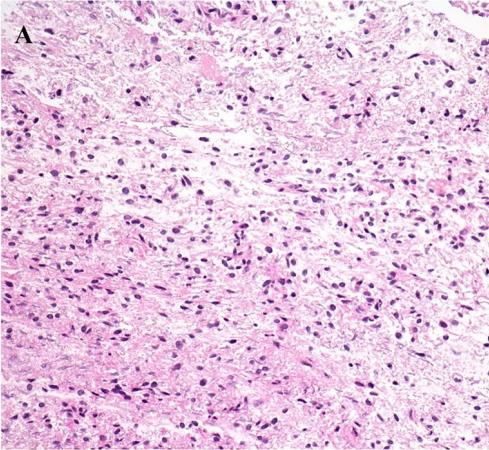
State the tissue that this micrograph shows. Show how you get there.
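Oval to elongated nuclei are spread through a pale pink fibrillary background. Cells are moderately dense without forming glands, nests or sheets. Nuclei vary only mildly in size and shape. The answer: glioma.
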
